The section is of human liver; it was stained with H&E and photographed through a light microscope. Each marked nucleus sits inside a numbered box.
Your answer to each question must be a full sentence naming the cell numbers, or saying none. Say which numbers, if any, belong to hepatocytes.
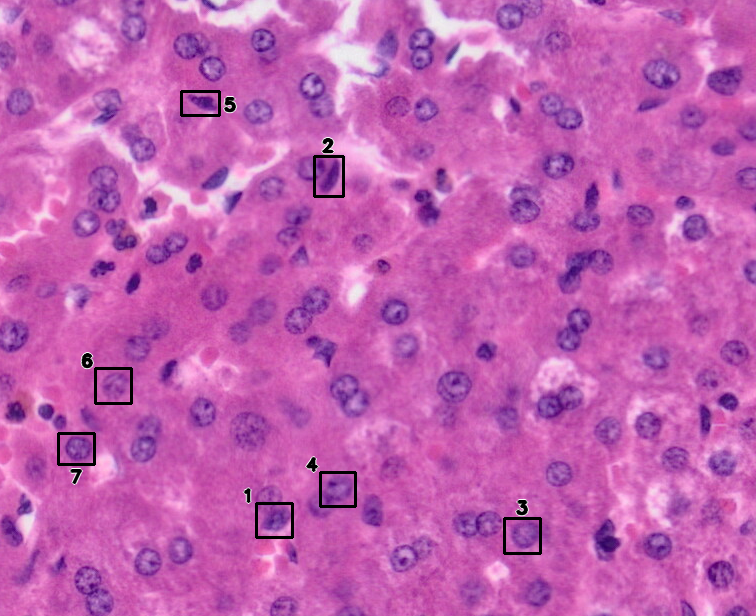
Cells that were given the numbers 3, 4, 6 and 7 are hepatocytes.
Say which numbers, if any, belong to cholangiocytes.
The count of cholangiocytes among the numbered cells is zero.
